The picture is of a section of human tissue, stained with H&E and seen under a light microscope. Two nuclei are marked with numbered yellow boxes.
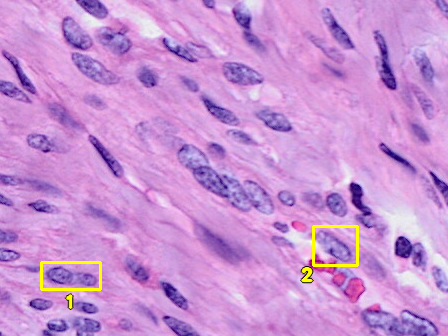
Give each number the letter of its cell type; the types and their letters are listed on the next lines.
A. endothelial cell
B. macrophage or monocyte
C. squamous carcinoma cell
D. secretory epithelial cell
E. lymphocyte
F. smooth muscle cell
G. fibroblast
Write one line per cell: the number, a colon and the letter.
1: F
2: A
